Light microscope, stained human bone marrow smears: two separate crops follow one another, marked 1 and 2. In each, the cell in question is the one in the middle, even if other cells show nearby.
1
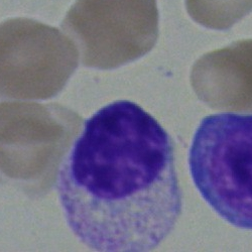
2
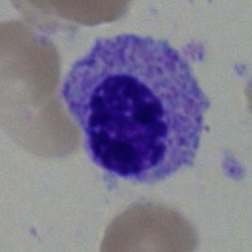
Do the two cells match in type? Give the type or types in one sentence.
Yes, the cells that both crops show at the centre are myelocytes.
